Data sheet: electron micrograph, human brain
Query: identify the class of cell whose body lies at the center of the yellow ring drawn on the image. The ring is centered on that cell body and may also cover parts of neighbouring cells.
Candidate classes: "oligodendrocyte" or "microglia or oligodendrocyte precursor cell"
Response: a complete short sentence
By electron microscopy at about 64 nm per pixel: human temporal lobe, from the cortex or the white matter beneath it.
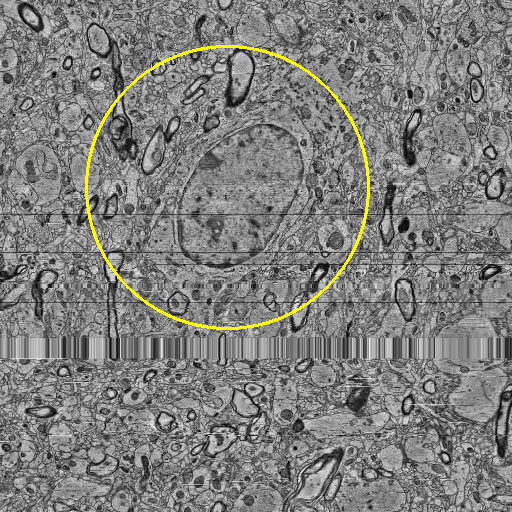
At the center of the ring lies a microglial cell or oligodendrocyte precursor cell.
